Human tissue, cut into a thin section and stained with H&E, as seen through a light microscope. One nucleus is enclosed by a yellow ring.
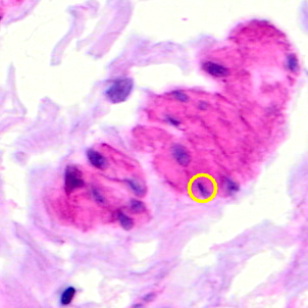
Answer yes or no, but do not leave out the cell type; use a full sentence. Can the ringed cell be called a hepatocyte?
No, the ringed cell is a smooth muscle cell instead of a hepatocyte.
